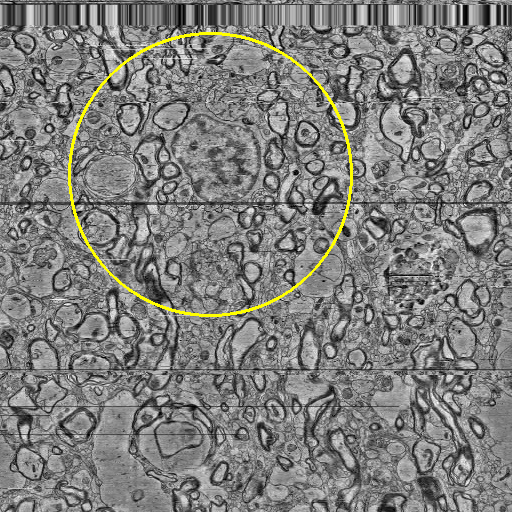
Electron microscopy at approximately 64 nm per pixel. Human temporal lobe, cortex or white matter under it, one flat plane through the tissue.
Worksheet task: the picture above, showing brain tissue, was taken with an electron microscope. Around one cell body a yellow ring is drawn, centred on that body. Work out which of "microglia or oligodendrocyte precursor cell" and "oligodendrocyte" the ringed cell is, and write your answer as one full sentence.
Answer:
It is an oligodendrocyte whose cell body lies at the centre of the yellow ring.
